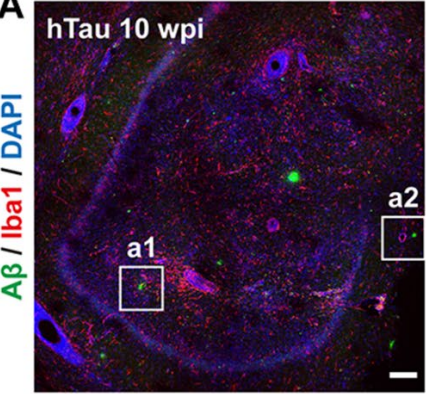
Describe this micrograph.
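Low-power section of hippocampus. A curved band of densely packed blue nuclei sweeps around the field as a C-shaped cell layer, with sparser nuclei in the surrounding neuropil. Several blood vessels appear in cross-section as rounded or elongated profiles with bright walls, the largest at the upper edge and lower left. A few discrete bright green foci stand out in the neuropil. One lies near the centre and another lies within the boxed area at the right edge.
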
